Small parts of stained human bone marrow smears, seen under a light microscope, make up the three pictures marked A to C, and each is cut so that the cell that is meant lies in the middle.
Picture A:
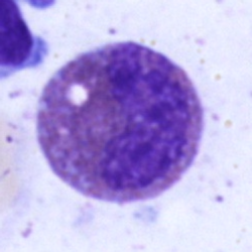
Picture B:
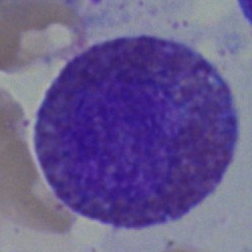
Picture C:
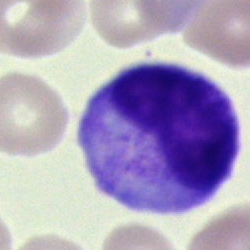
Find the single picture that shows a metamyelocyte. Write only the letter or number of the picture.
C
